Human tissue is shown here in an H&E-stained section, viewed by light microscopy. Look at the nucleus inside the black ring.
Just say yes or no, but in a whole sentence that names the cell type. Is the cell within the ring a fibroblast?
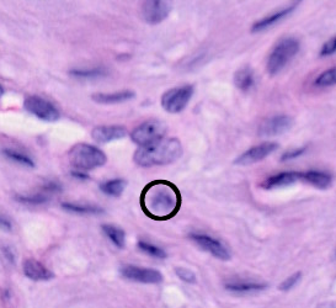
Yes, in terms of cell type, the cell within the ring is a fibroblast.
